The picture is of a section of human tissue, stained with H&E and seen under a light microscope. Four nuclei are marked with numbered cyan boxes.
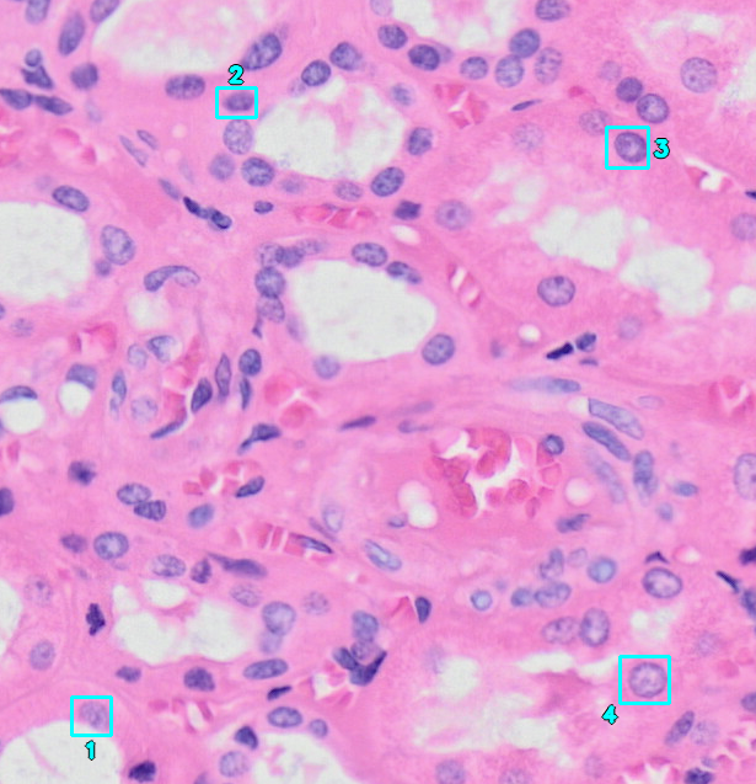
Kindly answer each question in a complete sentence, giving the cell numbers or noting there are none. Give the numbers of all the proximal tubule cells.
The cells given the numbers 3 and 4 are proximal tubule cells.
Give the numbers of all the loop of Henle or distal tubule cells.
Of all the cells bearing numbers, cell 1 is the only one that is a loop of Henle or distal tubule cell.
